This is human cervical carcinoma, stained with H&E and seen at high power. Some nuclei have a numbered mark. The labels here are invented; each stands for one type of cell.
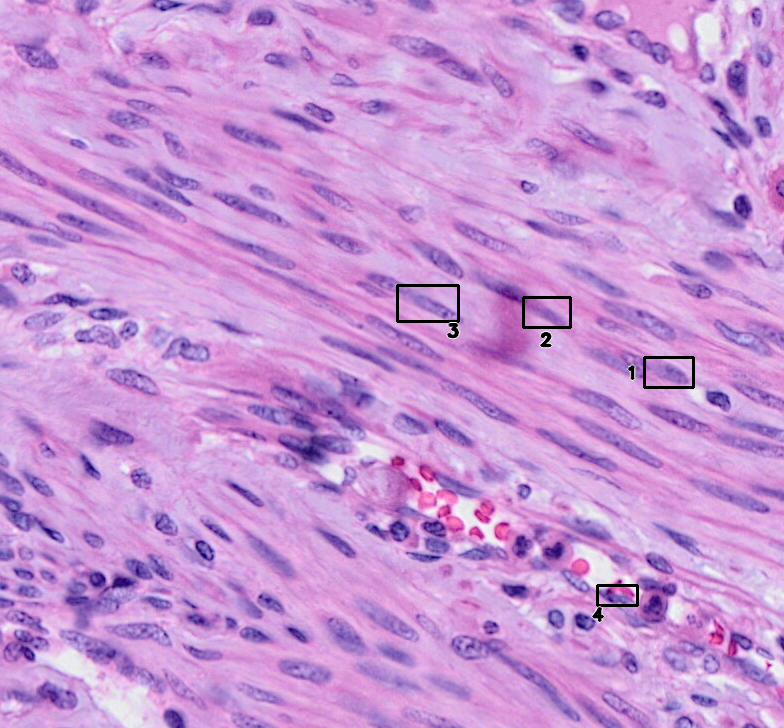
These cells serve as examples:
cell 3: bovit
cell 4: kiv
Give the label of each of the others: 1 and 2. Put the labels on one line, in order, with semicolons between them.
bovit; bovit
